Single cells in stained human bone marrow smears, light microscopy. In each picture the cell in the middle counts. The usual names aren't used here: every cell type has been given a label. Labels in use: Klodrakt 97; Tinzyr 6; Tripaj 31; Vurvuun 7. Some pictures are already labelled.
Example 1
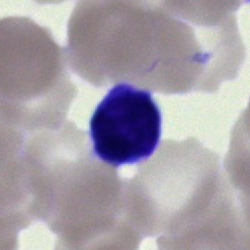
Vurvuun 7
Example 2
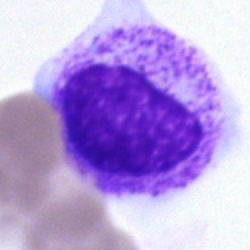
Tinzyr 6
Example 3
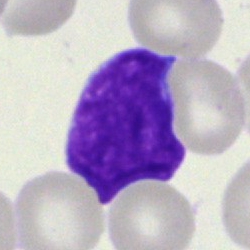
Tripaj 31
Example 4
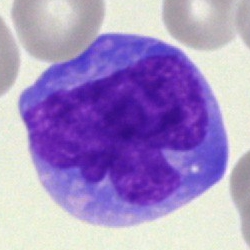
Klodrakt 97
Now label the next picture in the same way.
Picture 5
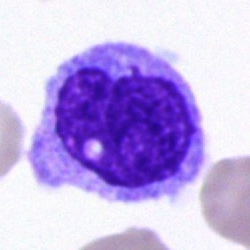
Klodrakt 97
